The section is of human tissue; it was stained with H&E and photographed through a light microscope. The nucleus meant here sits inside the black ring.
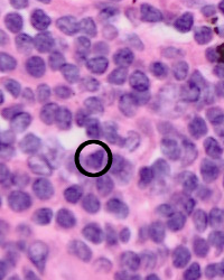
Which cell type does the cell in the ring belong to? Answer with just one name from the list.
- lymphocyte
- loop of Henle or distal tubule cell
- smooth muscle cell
lymphocyte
